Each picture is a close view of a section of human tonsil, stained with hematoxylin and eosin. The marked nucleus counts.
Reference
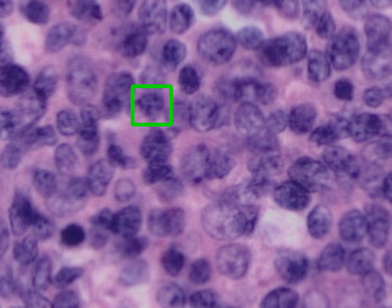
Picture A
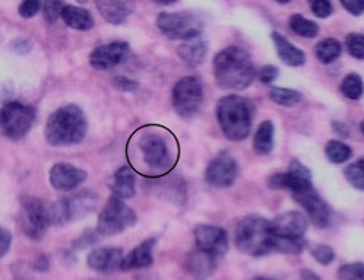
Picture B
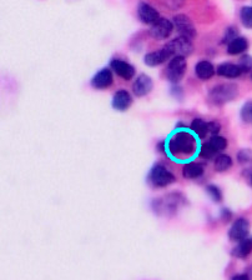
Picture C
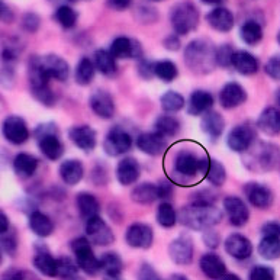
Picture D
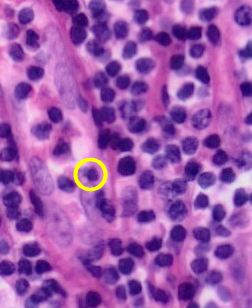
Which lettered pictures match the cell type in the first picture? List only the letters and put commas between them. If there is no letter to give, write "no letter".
A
